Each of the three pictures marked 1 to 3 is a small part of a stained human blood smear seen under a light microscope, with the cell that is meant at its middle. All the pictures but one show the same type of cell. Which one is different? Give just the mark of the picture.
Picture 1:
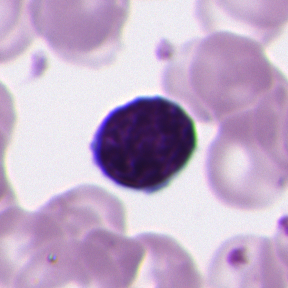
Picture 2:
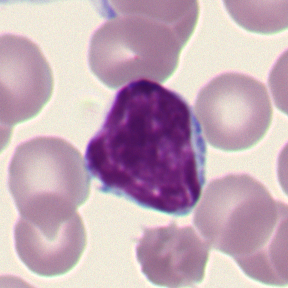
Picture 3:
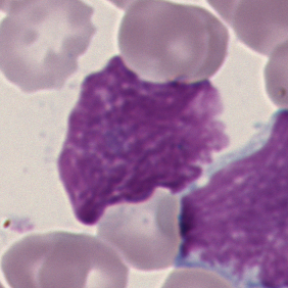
3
